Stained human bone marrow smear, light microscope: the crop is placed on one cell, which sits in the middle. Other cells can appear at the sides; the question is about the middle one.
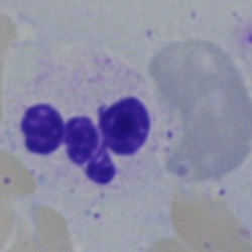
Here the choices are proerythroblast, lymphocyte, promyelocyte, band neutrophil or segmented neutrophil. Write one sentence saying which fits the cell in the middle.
Classified as a segmented neutrophil is the cell in the middle of this crop.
